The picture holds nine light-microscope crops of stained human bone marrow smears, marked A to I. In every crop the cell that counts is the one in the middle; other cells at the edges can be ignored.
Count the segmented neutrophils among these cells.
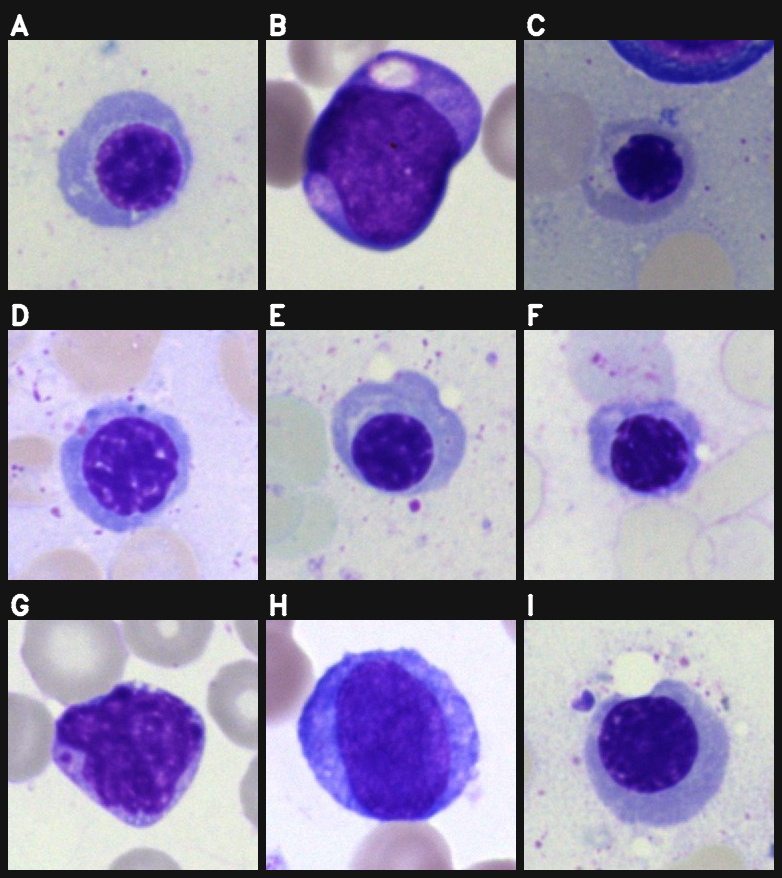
0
